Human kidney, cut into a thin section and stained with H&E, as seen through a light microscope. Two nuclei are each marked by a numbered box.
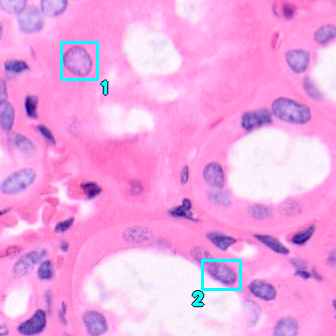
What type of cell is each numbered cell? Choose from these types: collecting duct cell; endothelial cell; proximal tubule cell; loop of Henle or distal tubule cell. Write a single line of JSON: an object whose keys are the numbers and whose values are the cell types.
{"1": "proximal tubule cell", "2": "loop of Henle or distal tubule cell"}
